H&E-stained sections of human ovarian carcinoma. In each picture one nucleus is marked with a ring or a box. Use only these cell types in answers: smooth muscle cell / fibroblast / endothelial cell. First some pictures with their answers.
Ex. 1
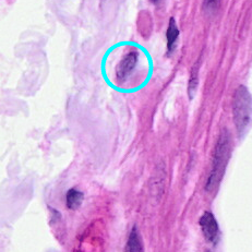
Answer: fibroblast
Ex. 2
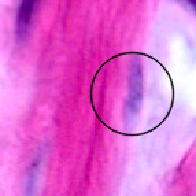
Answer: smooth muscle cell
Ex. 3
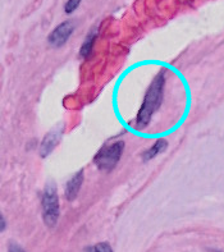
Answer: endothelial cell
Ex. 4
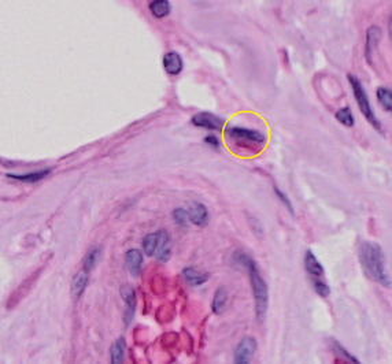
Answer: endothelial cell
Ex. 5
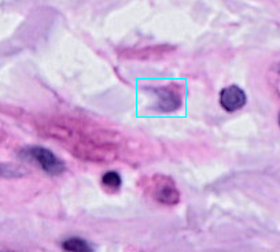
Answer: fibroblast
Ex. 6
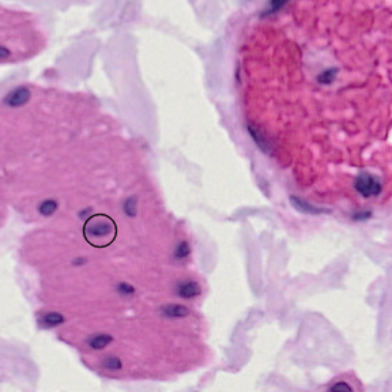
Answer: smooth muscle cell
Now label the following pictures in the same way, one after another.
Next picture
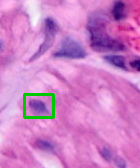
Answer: smooth muscle cell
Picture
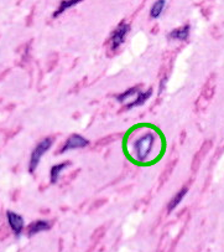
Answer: fibroblast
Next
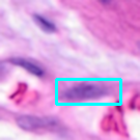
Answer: endothelial cell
